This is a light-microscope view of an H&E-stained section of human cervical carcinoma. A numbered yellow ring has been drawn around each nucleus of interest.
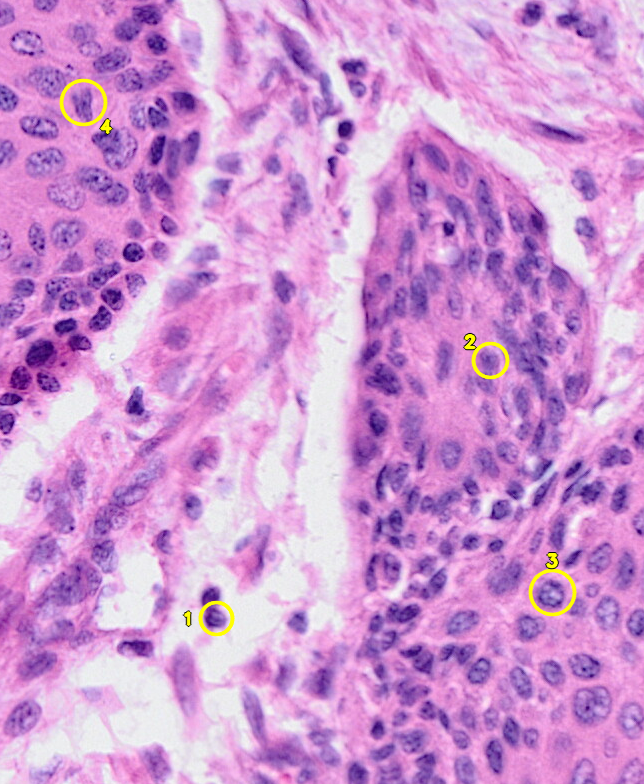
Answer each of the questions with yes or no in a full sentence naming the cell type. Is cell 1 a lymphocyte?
Yes, the cell at marker 1 is a lymphocyte.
